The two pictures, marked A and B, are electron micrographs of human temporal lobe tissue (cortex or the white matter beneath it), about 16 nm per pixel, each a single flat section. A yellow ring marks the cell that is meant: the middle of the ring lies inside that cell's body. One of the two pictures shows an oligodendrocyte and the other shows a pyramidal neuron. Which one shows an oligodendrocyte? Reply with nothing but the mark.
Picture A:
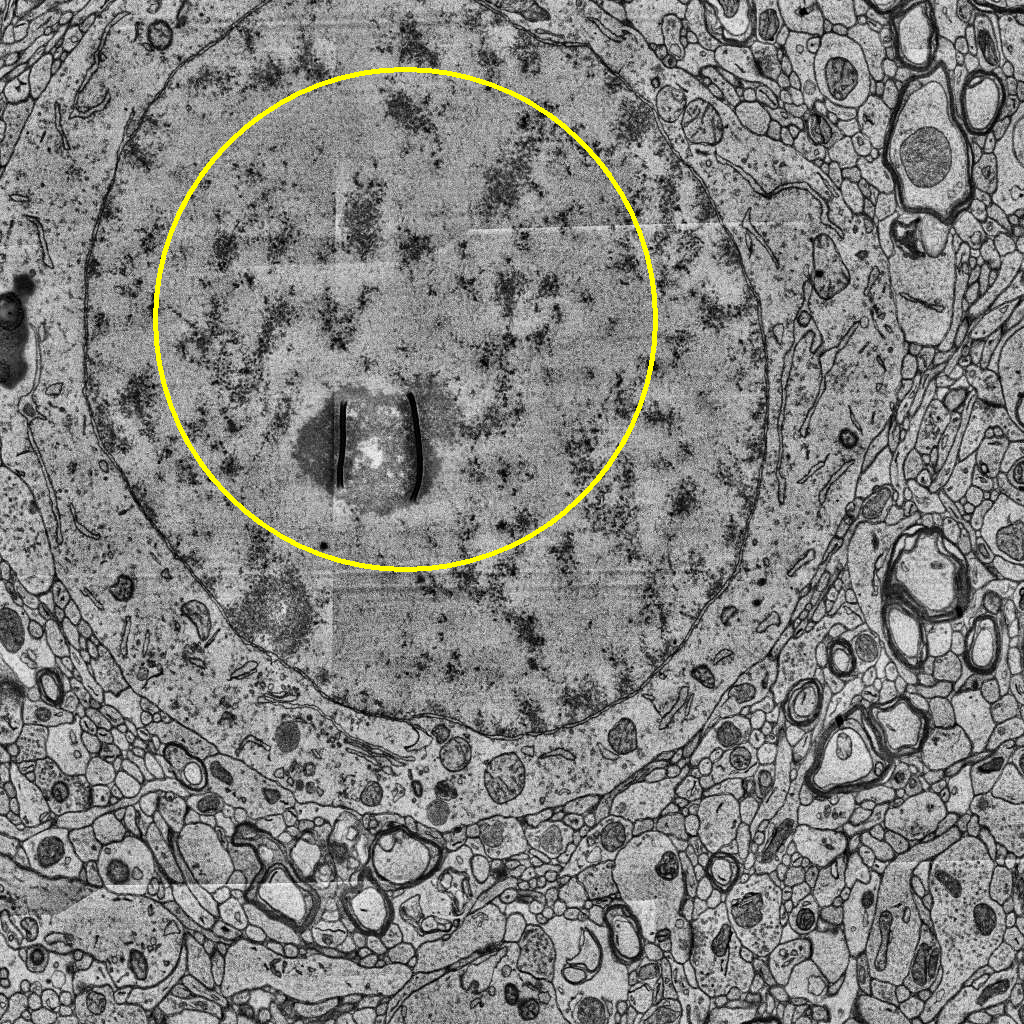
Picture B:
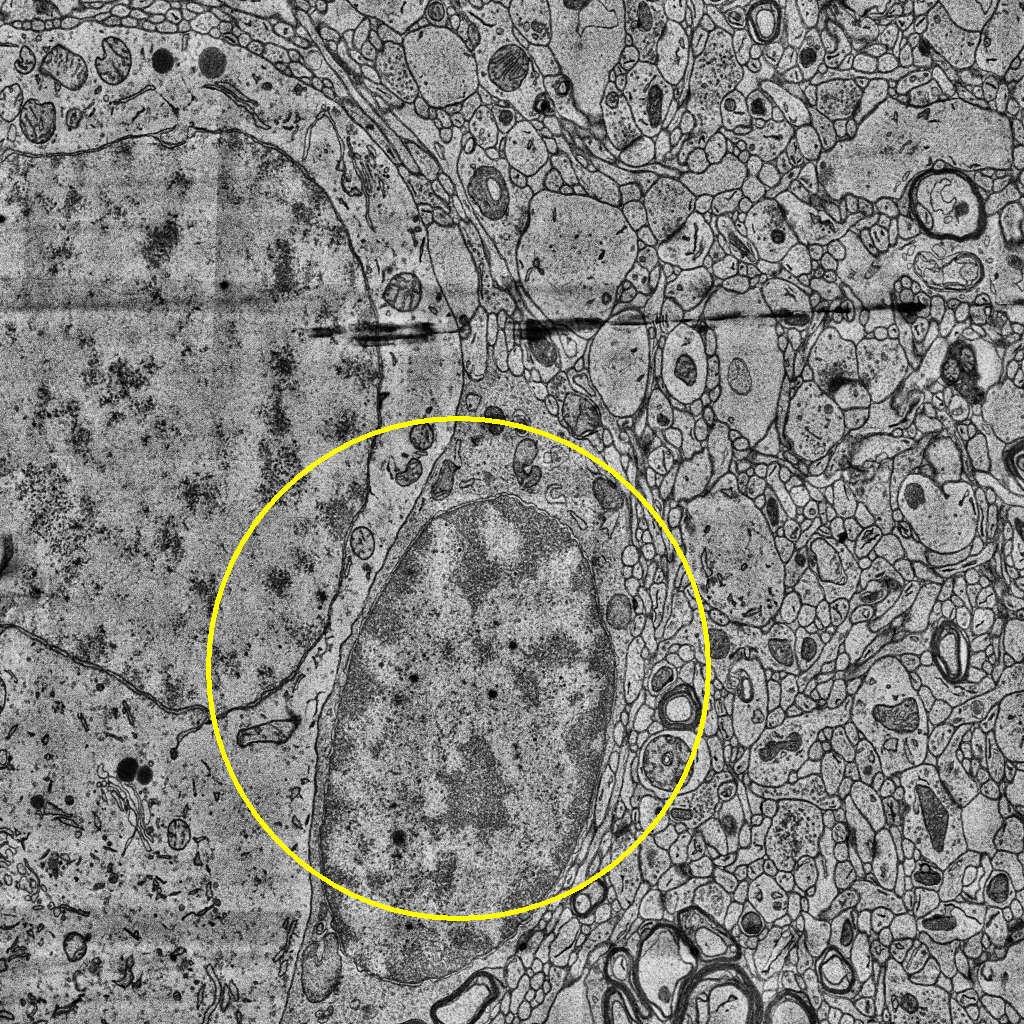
B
